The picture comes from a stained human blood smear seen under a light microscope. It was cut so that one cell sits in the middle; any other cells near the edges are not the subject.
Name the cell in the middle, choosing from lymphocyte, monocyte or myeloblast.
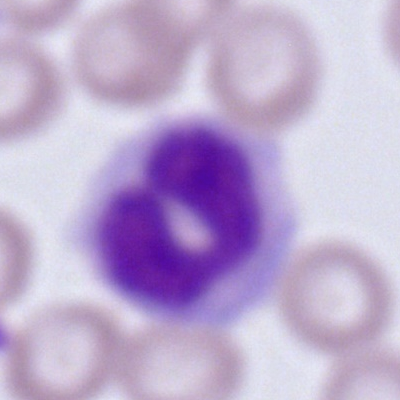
monocyte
